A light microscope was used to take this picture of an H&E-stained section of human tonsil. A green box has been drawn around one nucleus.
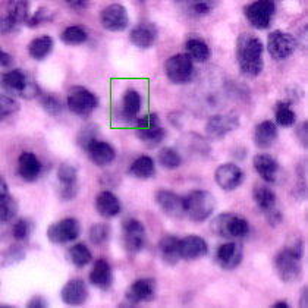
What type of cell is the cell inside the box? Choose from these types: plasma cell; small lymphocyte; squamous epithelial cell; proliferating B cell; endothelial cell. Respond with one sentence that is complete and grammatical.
On this particular slide, the cell inside the box is a proliferating B cell.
